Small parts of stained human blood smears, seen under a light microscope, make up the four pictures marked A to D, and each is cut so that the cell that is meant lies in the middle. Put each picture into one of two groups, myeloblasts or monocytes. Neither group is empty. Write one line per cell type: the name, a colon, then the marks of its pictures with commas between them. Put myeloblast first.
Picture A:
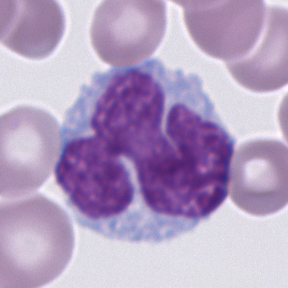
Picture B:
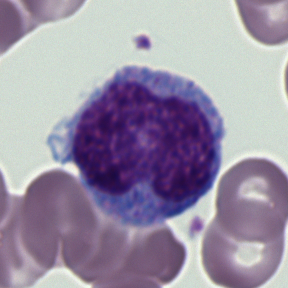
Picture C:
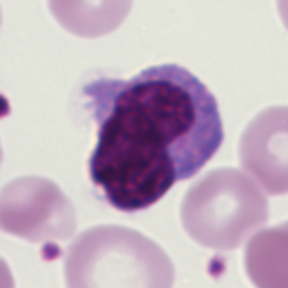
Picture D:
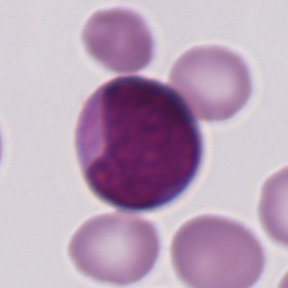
myeloblast: D
monocyte: A, B, C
